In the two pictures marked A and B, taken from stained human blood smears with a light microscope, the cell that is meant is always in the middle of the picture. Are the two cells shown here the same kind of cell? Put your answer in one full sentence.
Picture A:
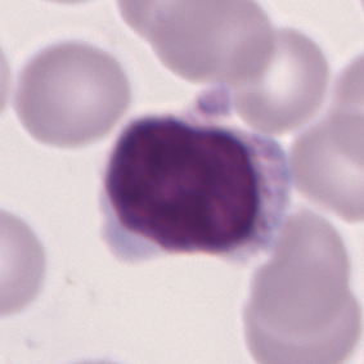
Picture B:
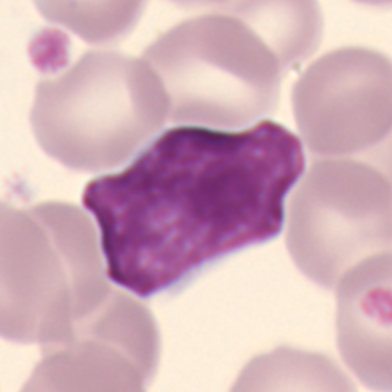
Yes, both are typical lymphocytes.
